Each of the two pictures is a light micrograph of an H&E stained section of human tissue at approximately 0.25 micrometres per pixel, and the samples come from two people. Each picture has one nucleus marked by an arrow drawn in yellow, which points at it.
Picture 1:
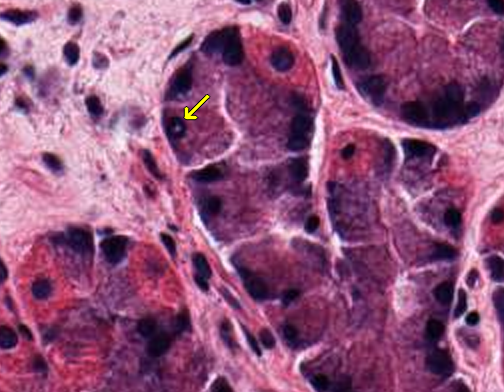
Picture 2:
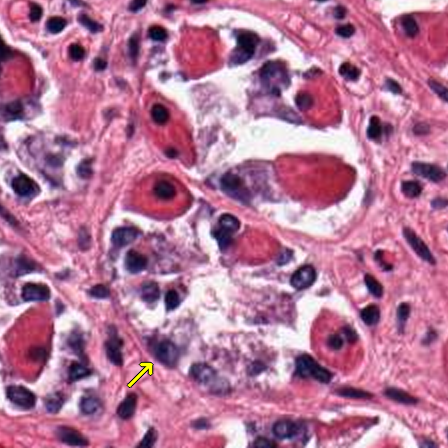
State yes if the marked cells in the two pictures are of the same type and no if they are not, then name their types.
Yes, both are chief cells.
